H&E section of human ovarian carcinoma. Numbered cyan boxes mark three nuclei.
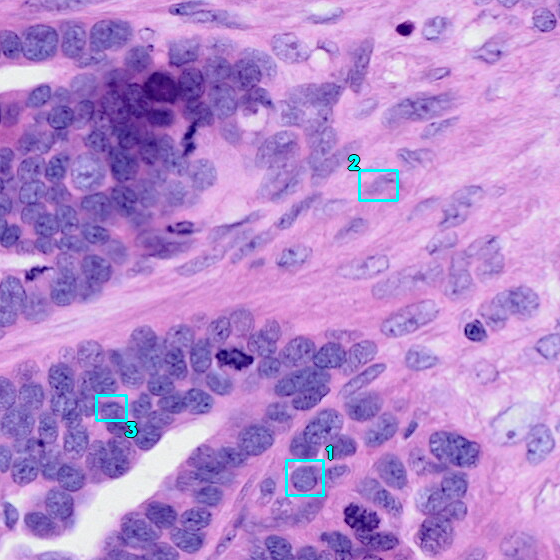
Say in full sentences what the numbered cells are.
Cells 1 and 3 are carcinoma cells. Cell 2 is a fibroblast.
